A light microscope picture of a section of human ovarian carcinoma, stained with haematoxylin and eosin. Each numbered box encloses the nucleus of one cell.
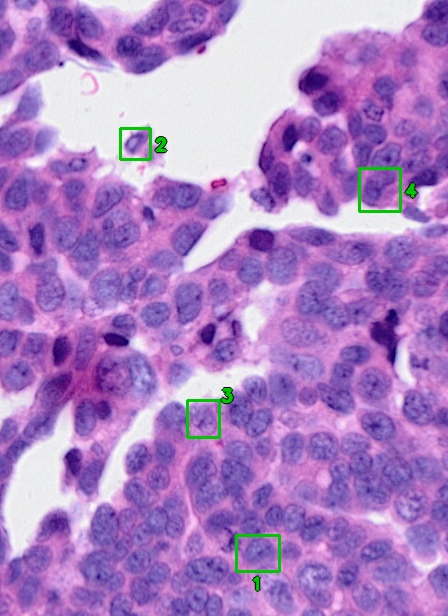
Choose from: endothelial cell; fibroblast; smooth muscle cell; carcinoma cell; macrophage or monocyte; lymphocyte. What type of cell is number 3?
carcinoma cell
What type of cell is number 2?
macrophage or monocyte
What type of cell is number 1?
carcinoma cell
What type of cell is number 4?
carcinoma cell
